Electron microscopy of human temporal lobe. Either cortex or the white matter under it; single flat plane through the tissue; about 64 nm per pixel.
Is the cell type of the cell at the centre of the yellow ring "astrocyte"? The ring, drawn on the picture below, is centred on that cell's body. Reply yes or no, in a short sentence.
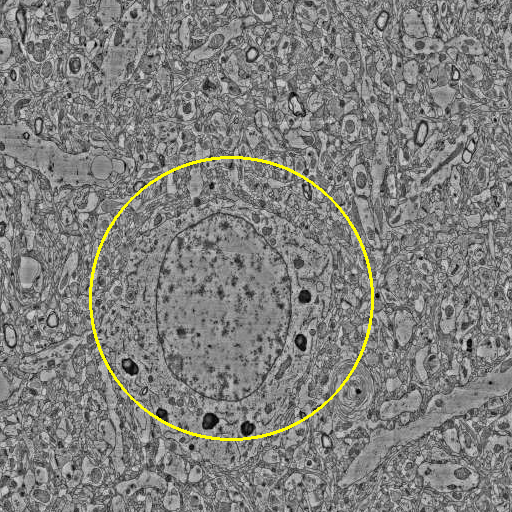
No, its cell type is another.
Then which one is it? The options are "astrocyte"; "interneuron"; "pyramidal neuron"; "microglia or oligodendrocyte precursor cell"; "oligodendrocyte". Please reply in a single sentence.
The answer is that the ringed cell is a pyramidal neuron.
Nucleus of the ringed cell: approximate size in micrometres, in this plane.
In this plane, roughly 12 by 9 micrometres.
